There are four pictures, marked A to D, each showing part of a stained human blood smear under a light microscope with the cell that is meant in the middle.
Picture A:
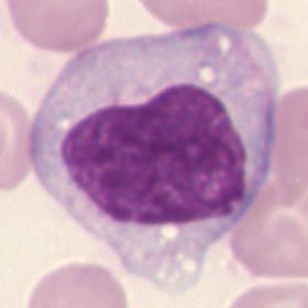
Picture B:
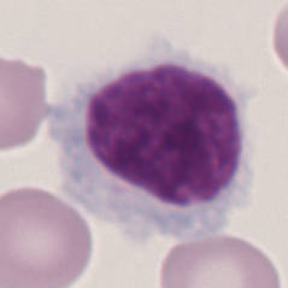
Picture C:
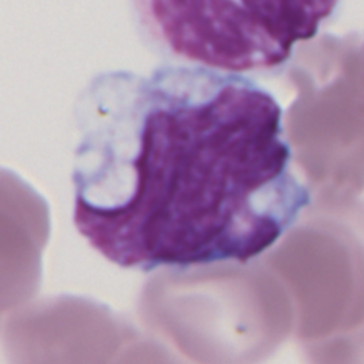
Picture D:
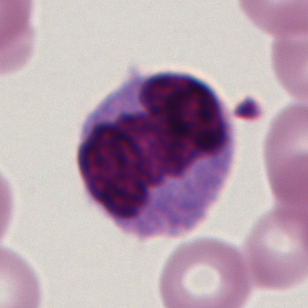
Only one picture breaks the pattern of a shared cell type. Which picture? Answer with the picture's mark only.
B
